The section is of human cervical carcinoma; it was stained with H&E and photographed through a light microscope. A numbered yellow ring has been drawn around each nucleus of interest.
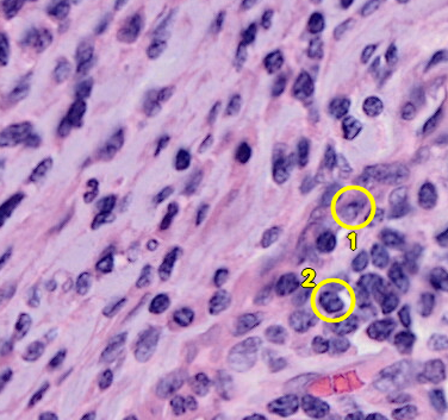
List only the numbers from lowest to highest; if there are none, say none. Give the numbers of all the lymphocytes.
2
